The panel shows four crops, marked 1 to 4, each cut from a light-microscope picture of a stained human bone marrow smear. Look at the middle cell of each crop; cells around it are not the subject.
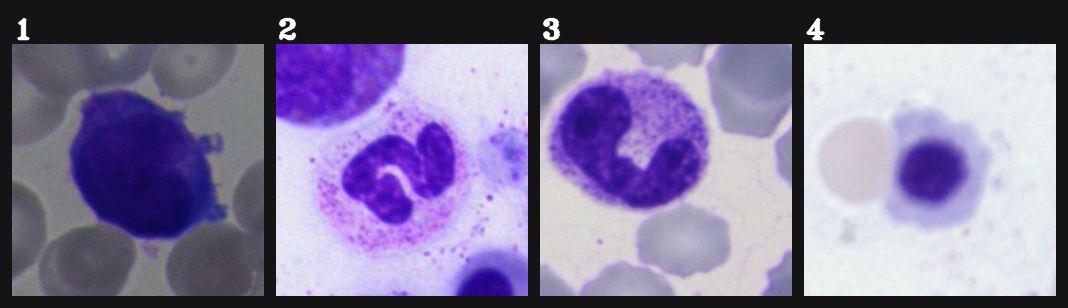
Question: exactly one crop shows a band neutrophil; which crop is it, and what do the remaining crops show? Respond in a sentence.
What crop 3 shows is a band neutrophil, while crop 1 is a blast, crop 2 is a segmented neutrophil and crop 4 is an erythroblast.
